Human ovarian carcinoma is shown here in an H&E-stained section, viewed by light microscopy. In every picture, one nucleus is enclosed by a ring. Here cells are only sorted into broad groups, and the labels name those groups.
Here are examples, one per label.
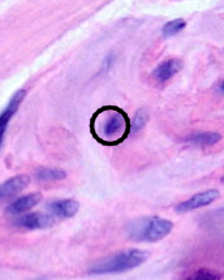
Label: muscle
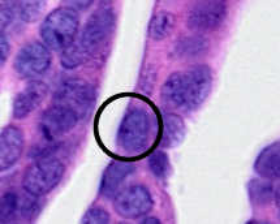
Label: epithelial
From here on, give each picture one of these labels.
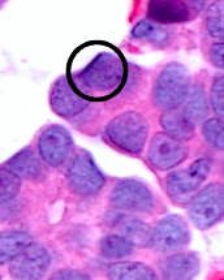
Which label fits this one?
epithelial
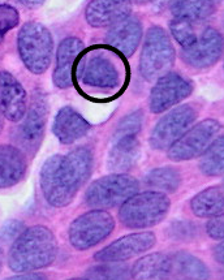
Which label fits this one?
epithelial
